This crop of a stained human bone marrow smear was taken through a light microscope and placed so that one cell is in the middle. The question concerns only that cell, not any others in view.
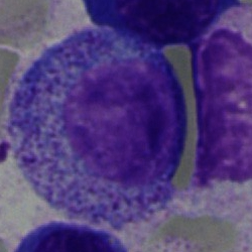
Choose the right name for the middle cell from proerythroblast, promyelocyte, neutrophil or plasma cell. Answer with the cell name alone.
promyelocyte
